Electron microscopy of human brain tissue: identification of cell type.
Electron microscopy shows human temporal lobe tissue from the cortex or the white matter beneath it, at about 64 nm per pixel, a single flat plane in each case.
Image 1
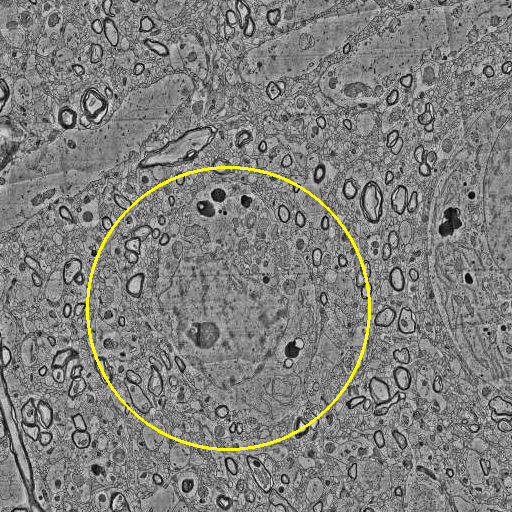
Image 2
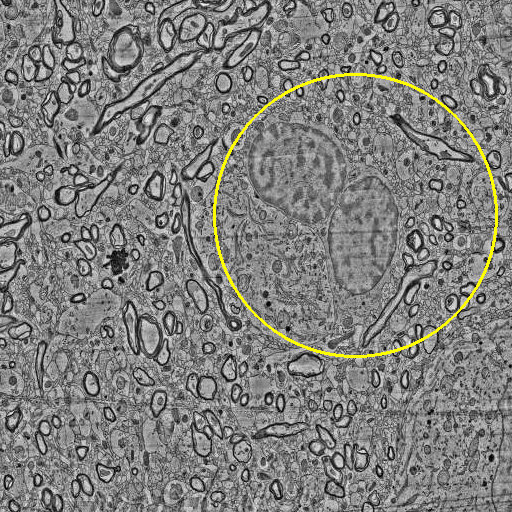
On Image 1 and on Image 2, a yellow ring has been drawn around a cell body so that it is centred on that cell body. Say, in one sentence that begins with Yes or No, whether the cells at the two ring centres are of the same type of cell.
No, the two cells are two separate types of cell.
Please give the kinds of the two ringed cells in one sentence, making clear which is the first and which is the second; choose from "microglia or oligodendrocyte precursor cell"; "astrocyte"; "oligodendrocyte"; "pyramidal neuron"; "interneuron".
In the second picture the ringed cell is an oligodendrocyte; in the first it is an interneuron.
